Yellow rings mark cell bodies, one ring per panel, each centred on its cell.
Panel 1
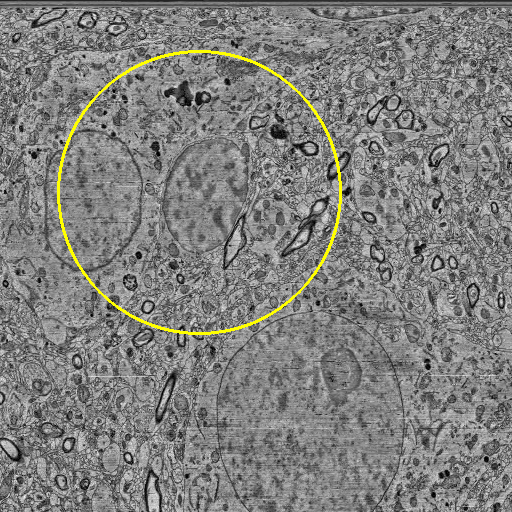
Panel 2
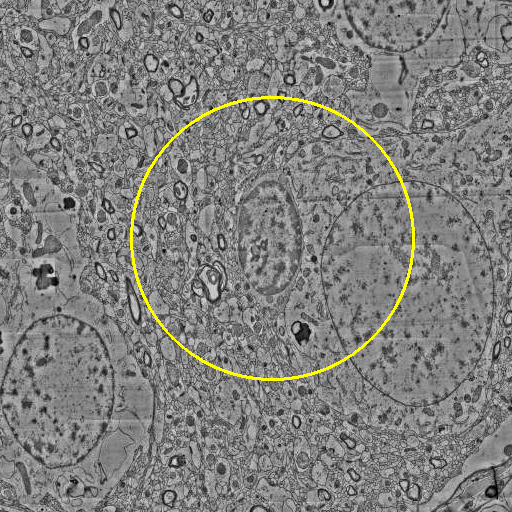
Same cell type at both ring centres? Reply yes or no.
yes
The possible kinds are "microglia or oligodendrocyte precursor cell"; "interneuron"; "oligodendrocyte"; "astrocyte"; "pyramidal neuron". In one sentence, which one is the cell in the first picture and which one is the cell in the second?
Each of the two cells is an oligodendrocyte.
